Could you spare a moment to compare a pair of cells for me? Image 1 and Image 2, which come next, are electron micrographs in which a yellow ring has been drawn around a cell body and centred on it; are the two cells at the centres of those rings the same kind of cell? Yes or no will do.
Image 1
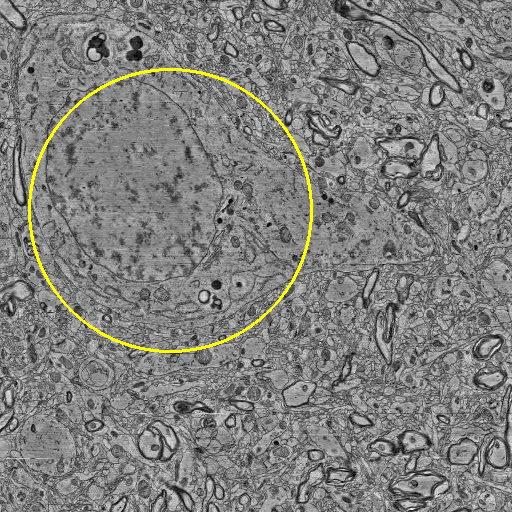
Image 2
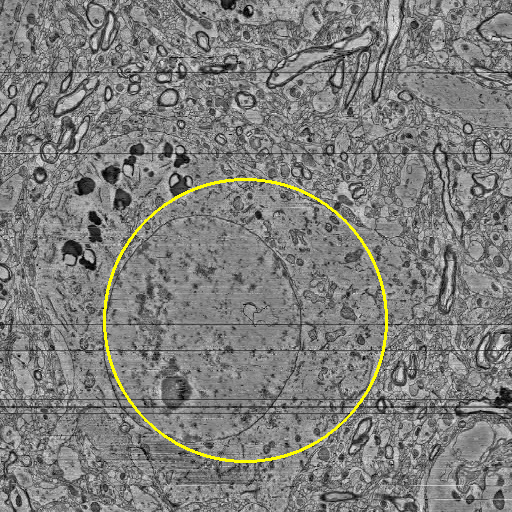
yes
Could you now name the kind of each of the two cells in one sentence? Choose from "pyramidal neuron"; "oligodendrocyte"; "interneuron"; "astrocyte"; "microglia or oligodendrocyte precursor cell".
Both cells are the same kind, each one being a pyramidal neuron.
